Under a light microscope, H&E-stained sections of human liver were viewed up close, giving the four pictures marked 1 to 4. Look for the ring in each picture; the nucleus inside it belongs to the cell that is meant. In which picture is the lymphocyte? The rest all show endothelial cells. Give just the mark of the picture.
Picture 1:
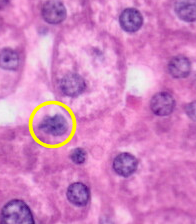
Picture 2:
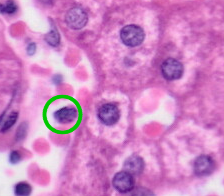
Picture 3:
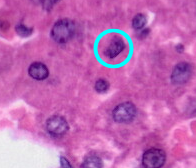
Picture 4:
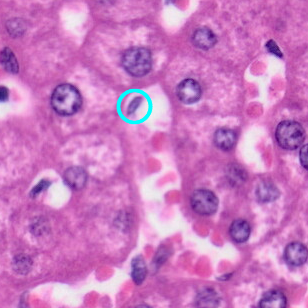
2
